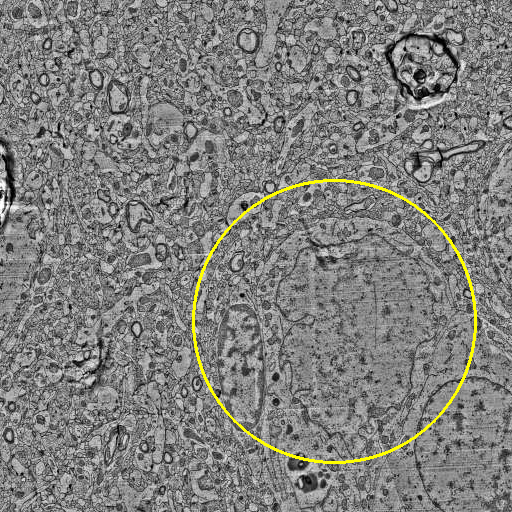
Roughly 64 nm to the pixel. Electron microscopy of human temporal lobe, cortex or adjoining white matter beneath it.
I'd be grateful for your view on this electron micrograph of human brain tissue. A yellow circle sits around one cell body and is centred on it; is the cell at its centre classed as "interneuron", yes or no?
yes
